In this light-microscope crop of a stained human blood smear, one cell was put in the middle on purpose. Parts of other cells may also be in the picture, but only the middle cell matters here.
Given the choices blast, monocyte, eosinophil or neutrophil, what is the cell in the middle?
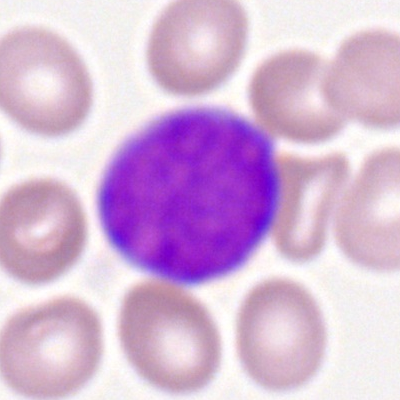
blast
